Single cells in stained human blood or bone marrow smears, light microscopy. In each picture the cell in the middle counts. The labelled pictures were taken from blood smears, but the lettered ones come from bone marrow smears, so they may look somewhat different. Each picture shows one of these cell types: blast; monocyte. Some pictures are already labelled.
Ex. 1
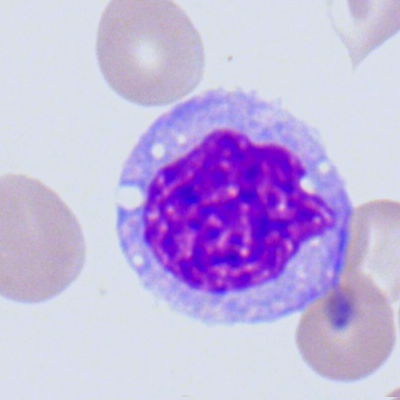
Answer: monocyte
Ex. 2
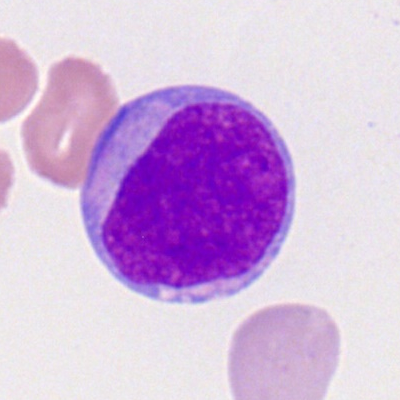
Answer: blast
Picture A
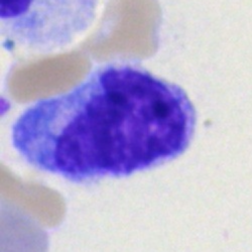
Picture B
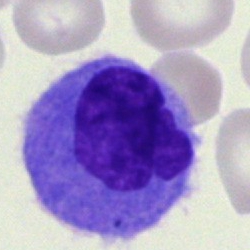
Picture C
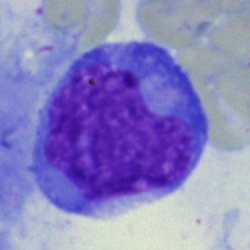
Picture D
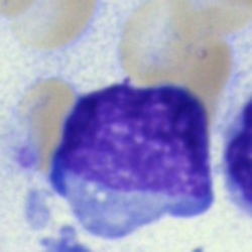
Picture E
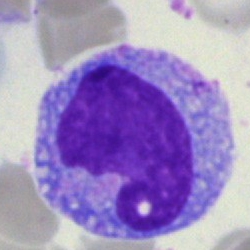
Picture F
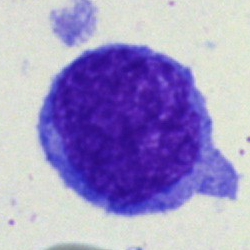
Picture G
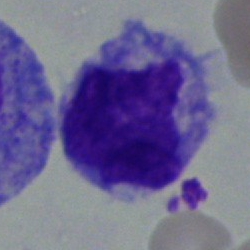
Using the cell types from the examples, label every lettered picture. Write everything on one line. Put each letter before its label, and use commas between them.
A monocyte, B monocyte, C monocyte, D blast, E monocyte, F blast, G monocyte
